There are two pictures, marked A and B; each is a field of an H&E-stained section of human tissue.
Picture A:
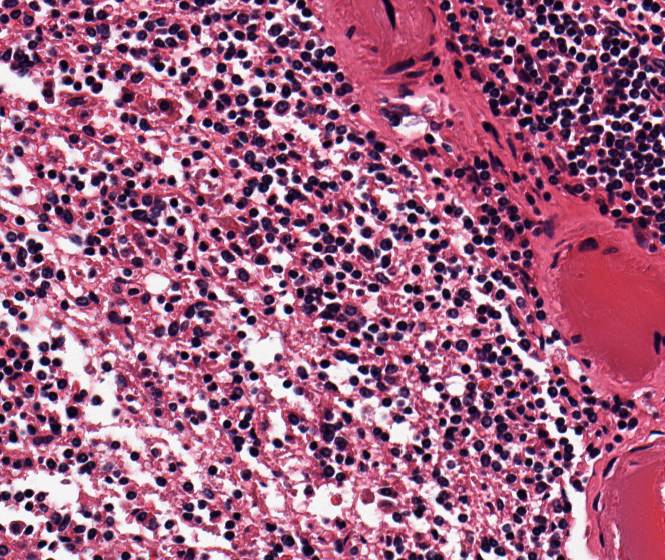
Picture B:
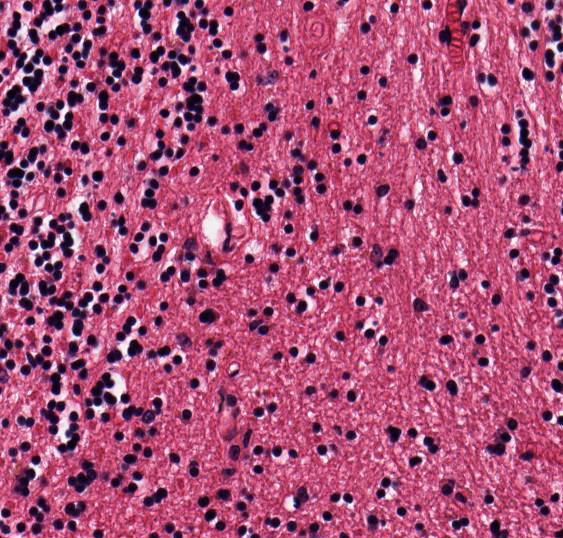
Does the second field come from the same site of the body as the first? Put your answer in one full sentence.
No. Picture A comes from the spleen, whereas picture B comes from the cerebellum.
